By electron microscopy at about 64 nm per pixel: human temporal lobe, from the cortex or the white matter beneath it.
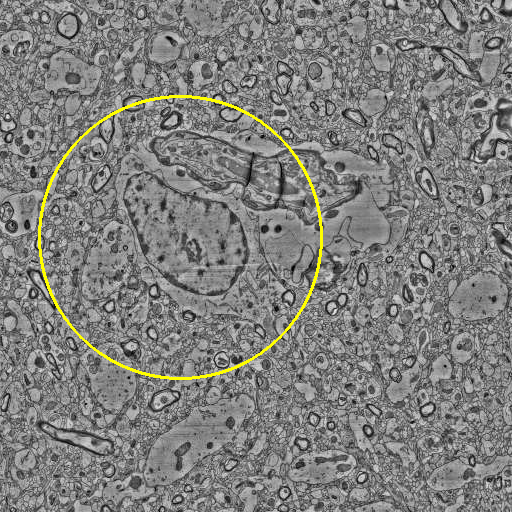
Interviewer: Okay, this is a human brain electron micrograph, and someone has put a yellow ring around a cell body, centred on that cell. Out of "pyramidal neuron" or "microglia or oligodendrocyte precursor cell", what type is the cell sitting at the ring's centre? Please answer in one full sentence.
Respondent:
The cell at the centre of the yellow ring in this picture is a microglial cell or oligodendrocyte precursor cell.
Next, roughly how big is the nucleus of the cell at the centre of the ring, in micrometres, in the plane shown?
The nucleus is approximately 9 micrometers long by 6 micrometers wide in this plane.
